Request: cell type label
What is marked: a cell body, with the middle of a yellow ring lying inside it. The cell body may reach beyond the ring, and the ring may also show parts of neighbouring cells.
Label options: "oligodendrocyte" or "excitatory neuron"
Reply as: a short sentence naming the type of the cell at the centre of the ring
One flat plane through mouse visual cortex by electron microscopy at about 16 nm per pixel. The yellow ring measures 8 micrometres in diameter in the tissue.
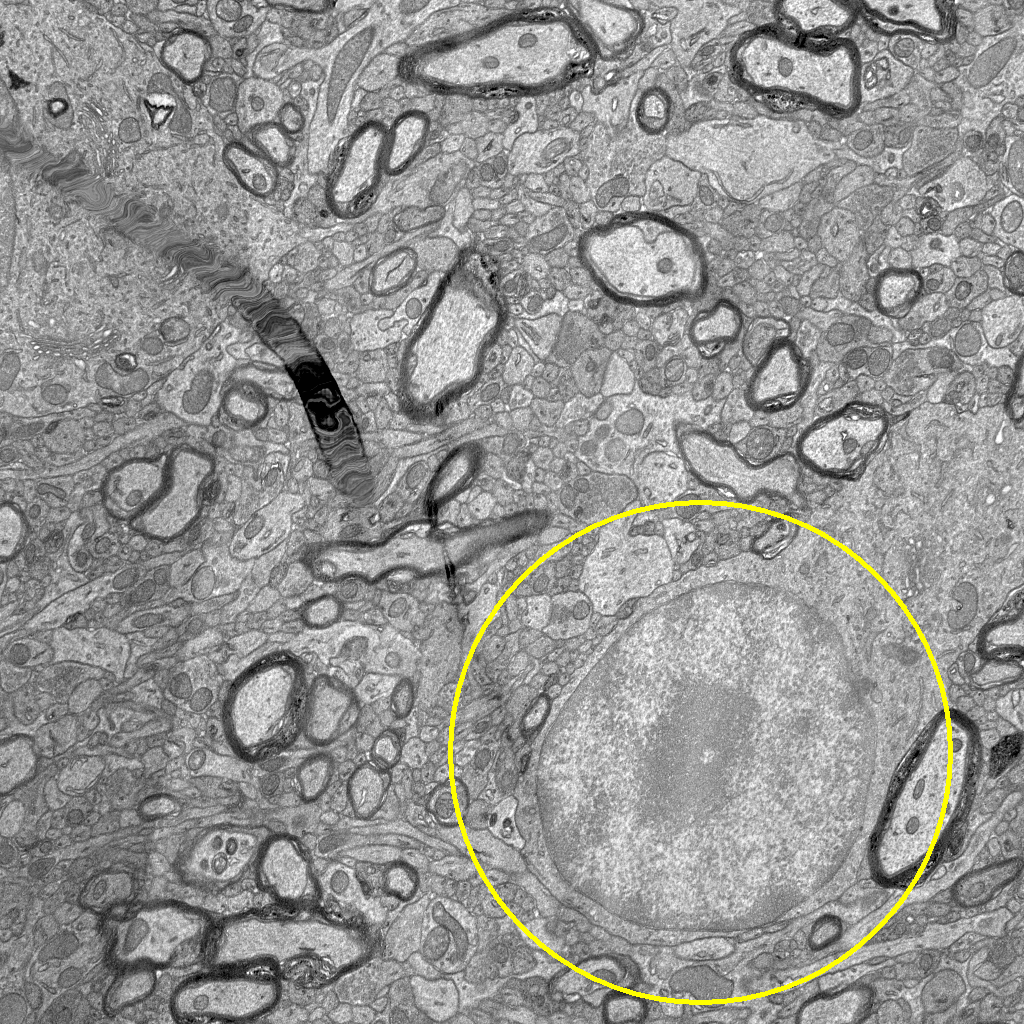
The marked cell body is that of an oligodendrocyte.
